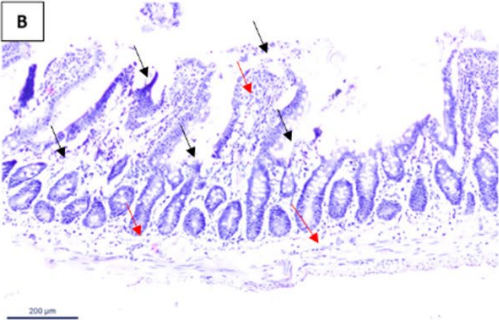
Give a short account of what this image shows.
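This is intestinal mucosa in which the villi are short, blunted and frayed, with a broken epithelial surface and loose debris shedding into the lumen, while rows of crypts remain at the base. Many small dark nuclei crowd the lamina propria and the tissue around and below the crypts. These are epithelial degeneration with loss of villi and crypts, together with inflammatory cell infiltration.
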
